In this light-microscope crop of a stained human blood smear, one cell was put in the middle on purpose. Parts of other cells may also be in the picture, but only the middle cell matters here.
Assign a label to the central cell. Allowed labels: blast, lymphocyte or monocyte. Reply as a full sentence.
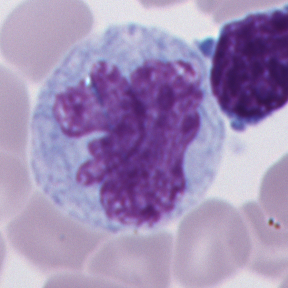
In the center of this field lies a monocyte.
